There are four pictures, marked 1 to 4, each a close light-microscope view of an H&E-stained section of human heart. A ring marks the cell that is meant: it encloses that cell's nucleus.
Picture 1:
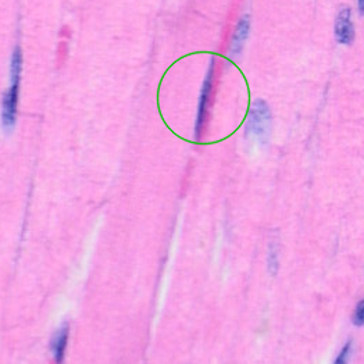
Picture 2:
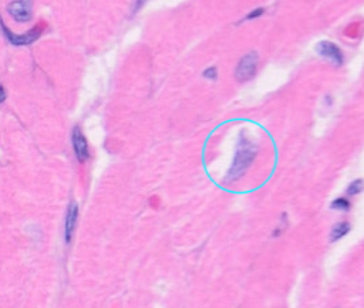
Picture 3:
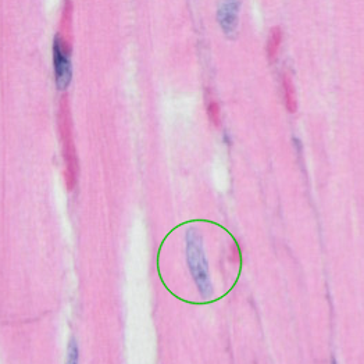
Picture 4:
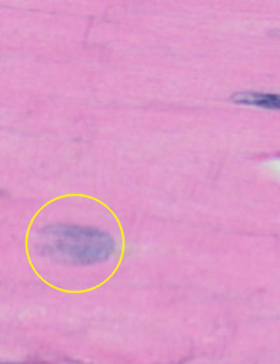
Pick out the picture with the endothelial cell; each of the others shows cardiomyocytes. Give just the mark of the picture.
1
